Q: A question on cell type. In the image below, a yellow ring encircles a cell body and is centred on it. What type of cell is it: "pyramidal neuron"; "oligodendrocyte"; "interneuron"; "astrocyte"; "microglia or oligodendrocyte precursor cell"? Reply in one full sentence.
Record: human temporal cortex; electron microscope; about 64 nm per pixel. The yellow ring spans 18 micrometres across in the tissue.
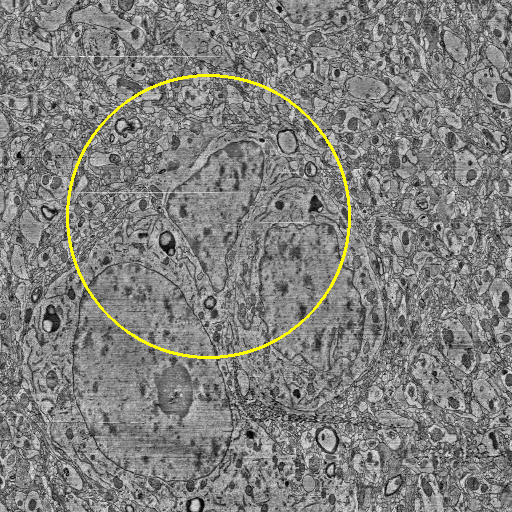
It is a microglial cell or oligodendrocyte precursor cell whose cell body sits at the centre of the yellow ring in the image.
